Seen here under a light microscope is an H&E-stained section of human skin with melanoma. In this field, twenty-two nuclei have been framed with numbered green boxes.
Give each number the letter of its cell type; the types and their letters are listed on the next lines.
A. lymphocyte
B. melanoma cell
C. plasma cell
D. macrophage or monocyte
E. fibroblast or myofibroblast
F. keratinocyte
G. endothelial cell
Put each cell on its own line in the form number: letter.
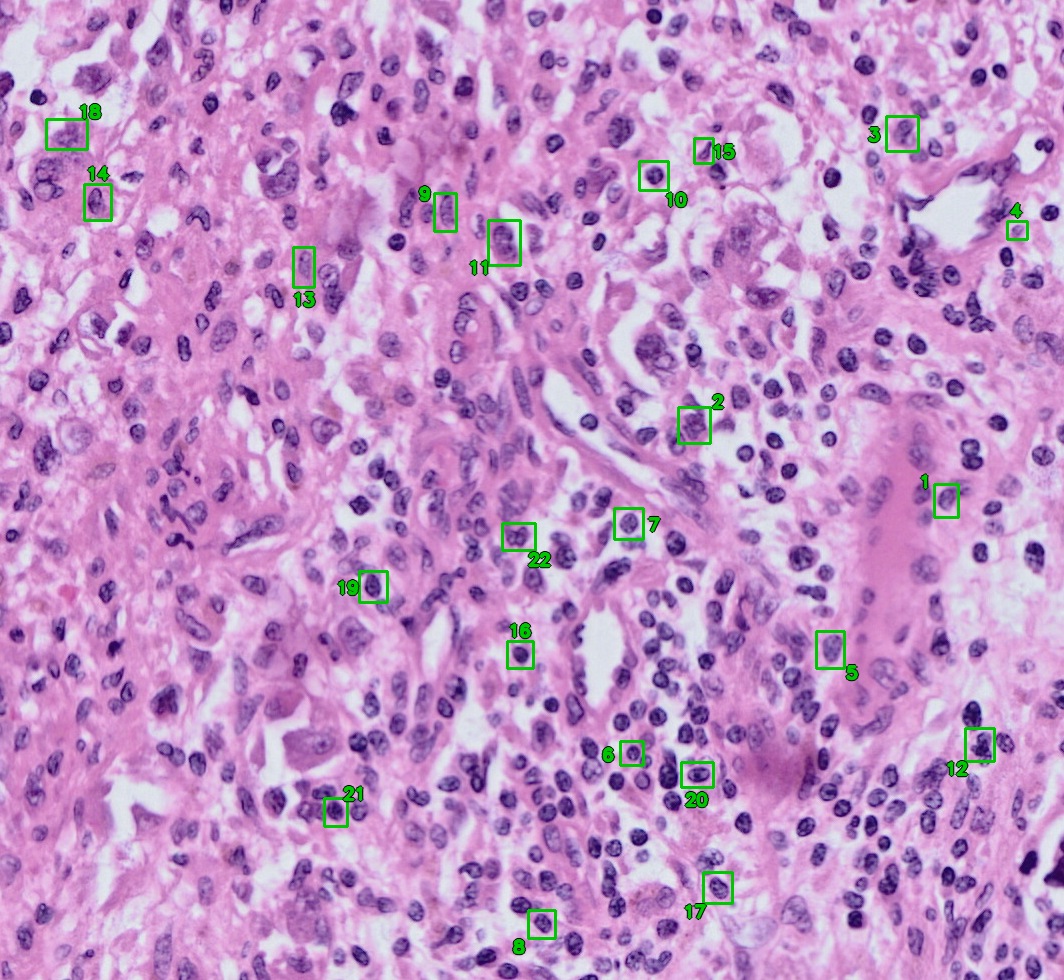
1: A
2: B
3: D
4: D
5: A
6: A
7: A
8: A
9: D
10: A
11: B
12: A
13: D
14: D
15: E
16: A
17: A
18: B
19: A
20: A
21: A
22: D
